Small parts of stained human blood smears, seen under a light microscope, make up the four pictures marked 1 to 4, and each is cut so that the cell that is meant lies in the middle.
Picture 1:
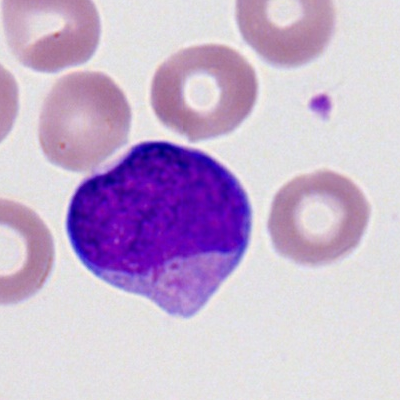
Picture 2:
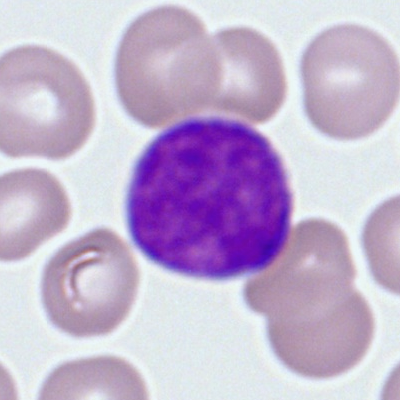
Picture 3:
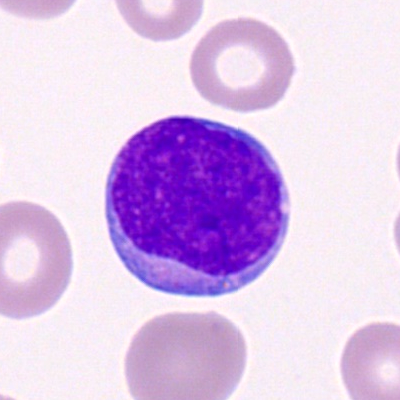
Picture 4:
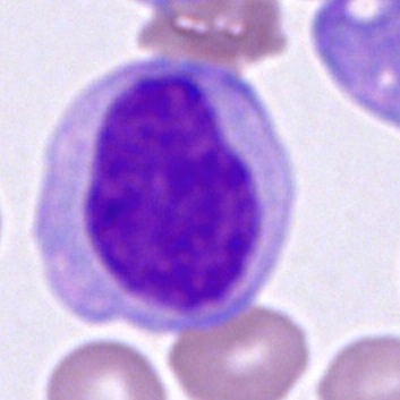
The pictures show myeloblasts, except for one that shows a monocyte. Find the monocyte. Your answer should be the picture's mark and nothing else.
4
